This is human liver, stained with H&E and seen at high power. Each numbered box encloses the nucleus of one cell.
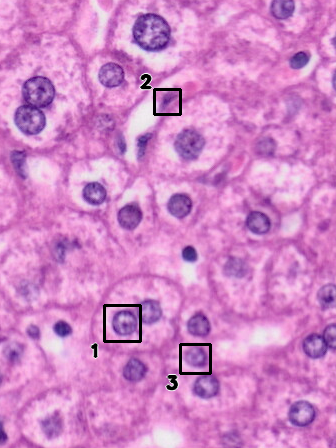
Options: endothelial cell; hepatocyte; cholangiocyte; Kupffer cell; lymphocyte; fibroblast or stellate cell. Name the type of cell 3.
hepatocyte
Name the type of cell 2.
Kupffer cell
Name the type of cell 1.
hepatocyte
